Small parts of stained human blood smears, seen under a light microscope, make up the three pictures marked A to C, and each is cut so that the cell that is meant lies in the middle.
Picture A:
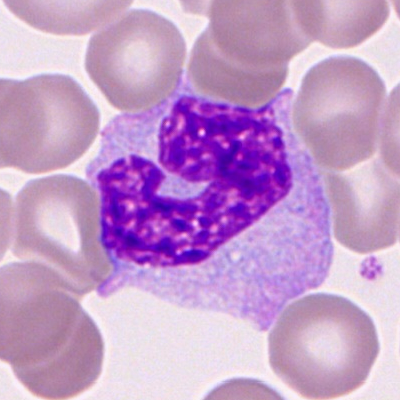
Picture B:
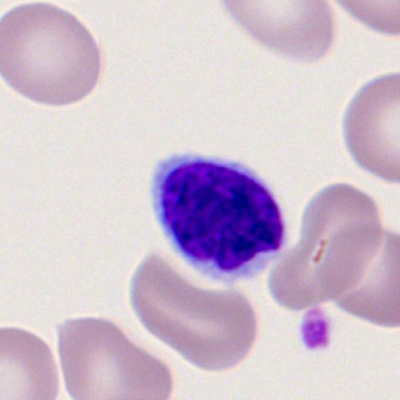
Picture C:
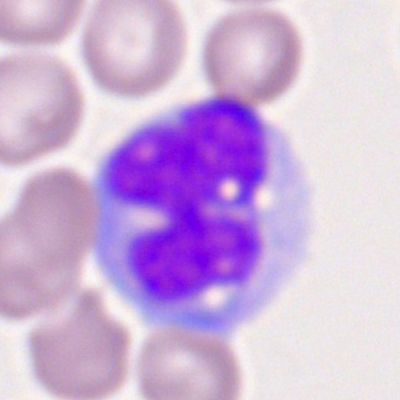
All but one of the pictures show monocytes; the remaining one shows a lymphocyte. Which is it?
B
